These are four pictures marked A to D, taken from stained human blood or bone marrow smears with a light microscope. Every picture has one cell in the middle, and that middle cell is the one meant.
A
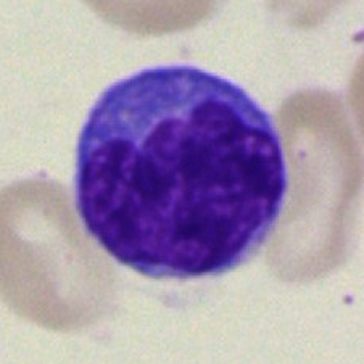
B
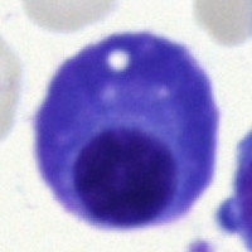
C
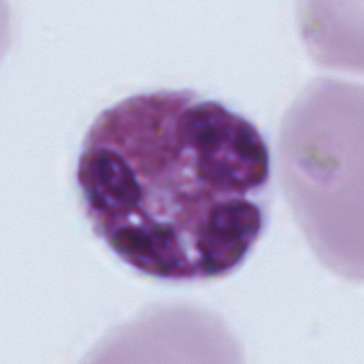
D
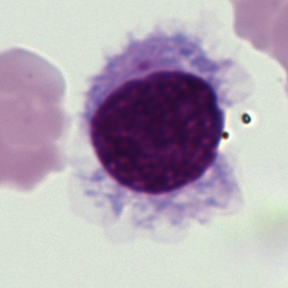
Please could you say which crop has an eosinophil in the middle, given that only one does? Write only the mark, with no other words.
C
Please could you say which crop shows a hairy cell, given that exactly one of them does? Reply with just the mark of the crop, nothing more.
D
